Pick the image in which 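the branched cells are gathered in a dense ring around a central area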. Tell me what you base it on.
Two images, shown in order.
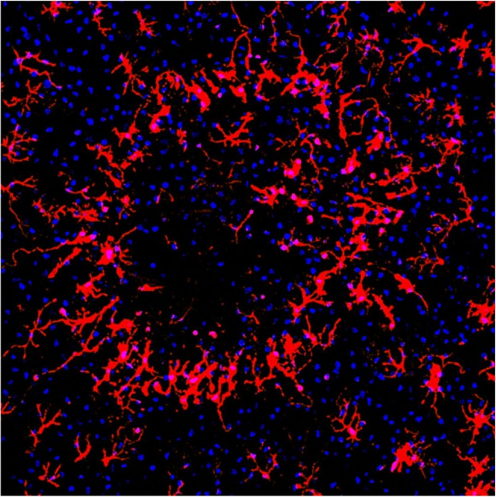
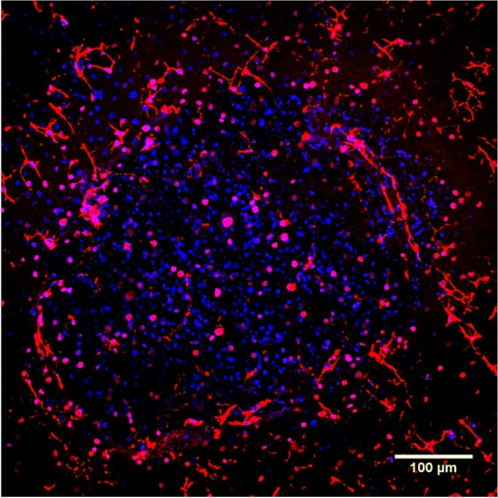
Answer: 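The first image. Second image: the centre holds many small round red cells and the branched red cells are loosely scattered around it, without a dense ring. First image: branched red cells crowd in a ring-shaped band around a centre with few red cells.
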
